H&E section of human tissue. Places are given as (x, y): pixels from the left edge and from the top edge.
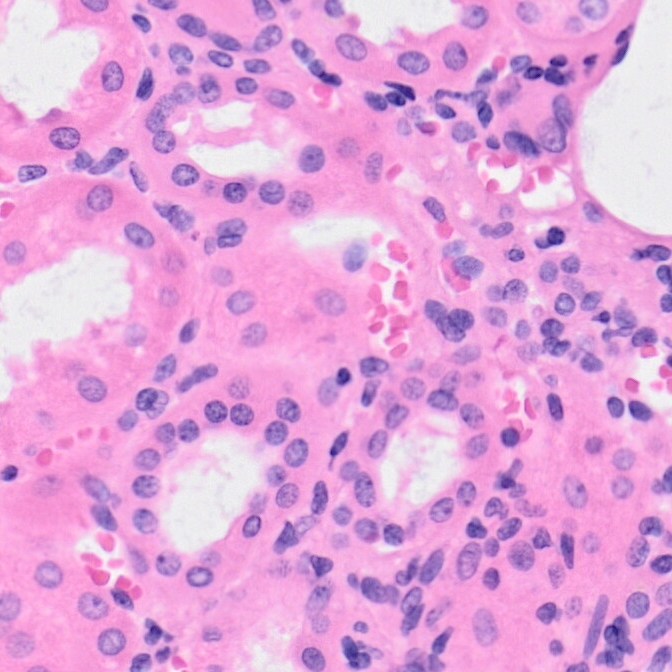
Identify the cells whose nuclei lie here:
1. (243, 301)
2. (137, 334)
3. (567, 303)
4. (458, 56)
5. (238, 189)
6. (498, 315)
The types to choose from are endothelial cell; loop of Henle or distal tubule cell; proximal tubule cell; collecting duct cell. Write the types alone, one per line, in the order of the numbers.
proximal tubule cell
proximal tubule cell
collecting duct cell
proximal tubule cell
collecting duct cell
collecting duct cell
